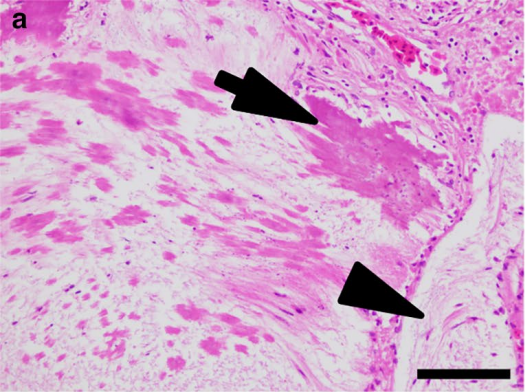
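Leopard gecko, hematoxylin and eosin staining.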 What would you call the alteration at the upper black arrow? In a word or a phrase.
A: Homogeneous eosinophilic materials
